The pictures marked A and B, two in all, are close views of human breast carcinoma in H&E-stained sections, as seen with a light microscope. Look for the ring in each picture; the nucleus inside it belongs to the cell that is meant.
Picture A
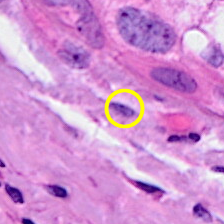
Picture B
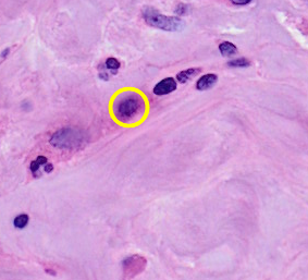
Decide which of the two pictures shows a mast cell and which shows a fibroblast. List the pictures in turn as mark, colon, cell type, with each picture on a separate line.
A: fibroblast
B: mast cell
